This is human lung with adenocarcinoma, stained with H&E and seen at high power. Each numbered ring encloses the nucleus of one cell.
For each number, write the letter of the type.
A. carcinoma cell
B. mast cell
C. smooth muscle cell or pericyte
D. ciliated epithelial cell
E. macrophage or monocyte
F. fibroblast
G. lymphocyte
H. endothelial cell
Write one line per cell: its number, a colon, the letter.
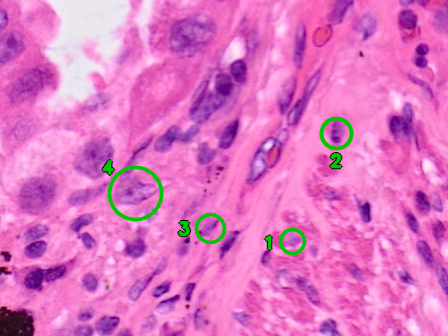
1: C
2: B
3: F
4: F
